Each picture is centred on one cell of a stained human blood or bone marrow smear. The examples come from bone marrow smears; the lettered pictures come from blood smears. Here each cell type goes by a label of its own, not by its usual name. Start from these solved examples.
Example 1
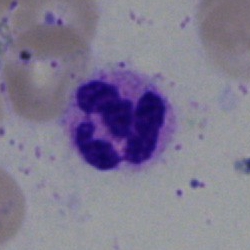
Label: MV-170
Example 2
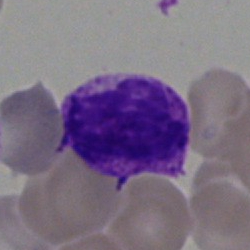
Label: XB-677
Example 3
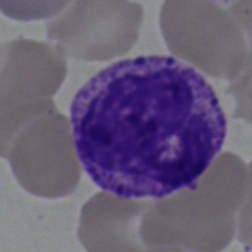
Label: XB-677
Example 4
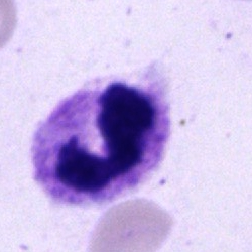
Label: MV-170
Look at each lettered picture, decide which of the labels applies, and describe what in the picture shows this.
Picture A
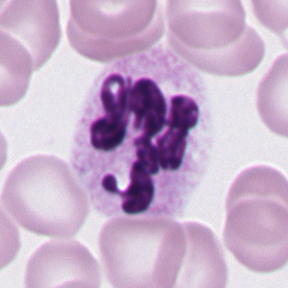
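MV-170: Fine pinkish-violet granules are scattered evenly through the cytoplasm.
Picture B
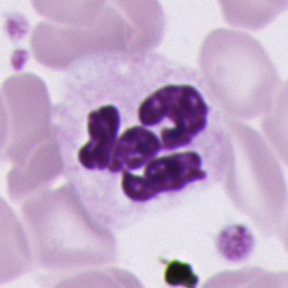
MV-170: The cytoplasm holds fine, faint lilac granules.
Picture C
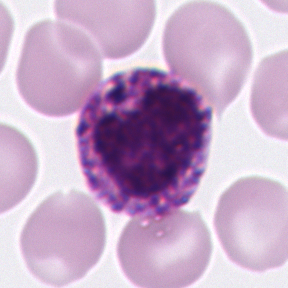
XB-677: The cytoplasm forms only a narrow rim around the nucleus.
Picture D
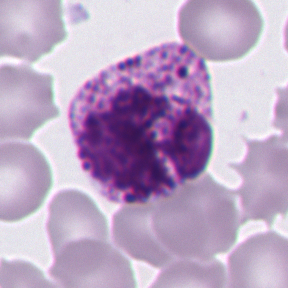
XB-677: The granules are coarse and vary in size.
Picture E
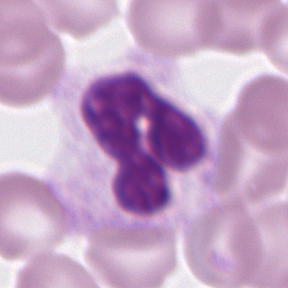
MV-170: A wide rim of pale pinkish-lilac cytoplasm surrounds the nucleus.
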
